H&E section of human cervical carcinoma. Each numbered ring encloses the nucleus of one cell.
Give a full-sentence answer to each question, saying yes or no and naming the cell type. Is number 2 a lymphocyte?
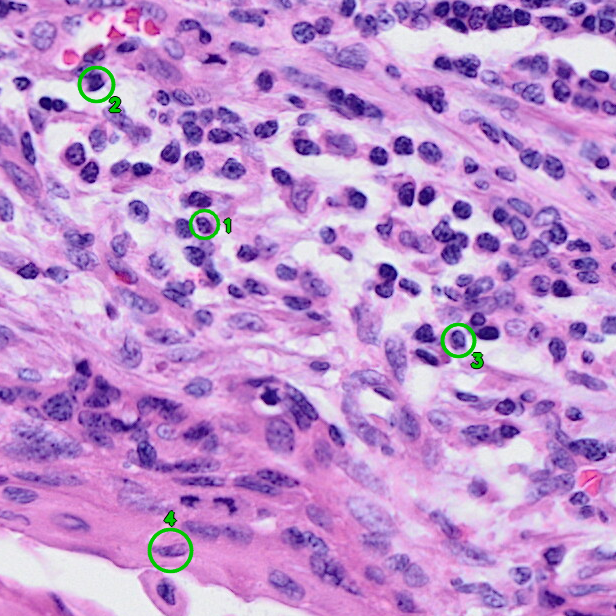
Yes, it is a lymphocyte that carries the number 2.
